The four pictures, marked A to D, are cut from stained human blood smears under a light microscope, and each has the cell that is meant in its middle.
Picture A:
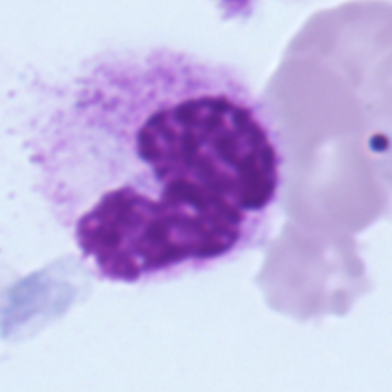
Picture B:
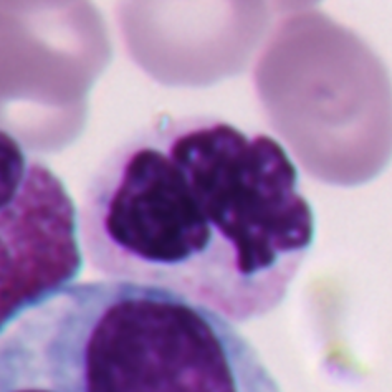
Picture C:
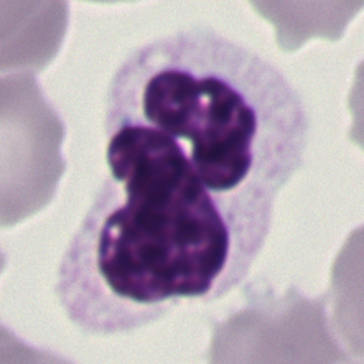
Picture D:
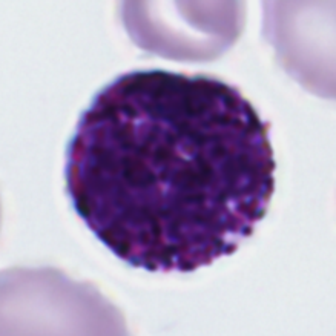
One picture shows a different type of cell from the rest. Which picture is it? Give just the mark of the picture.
D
